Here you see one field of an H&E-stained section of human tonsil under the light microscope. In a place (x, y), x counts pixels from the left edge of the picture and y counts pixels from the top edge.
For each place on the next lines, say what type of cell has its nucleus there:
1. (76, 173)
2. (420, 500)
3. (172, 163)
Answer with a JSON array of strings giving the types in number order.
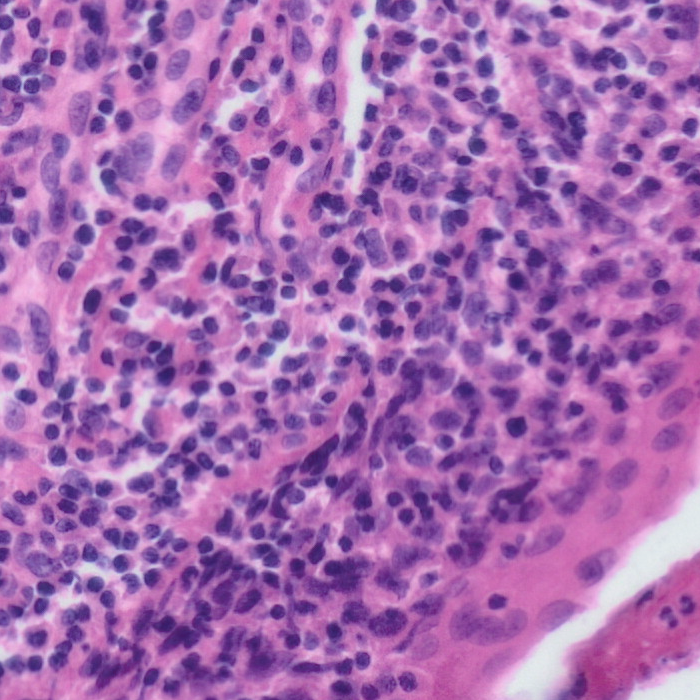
["endothelial cell", "squamous epithelial cell", "endothelial cell"]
